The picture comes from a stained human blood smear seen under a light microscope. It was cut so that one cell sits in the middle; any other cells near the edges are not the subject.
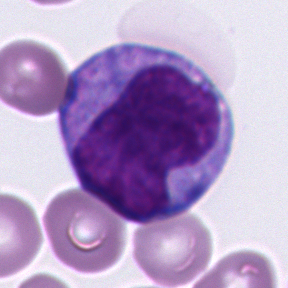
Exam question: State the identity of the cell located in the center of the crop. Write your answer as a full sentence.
The centrally located cell in the crop is an atypical promyelocyte.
